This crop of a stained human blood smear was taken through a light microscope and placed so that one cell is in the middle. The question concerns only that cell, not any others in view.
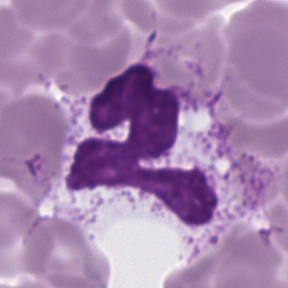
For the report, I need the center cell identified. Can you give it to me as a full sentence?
Classification of the middle cell gives a neutrophil.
